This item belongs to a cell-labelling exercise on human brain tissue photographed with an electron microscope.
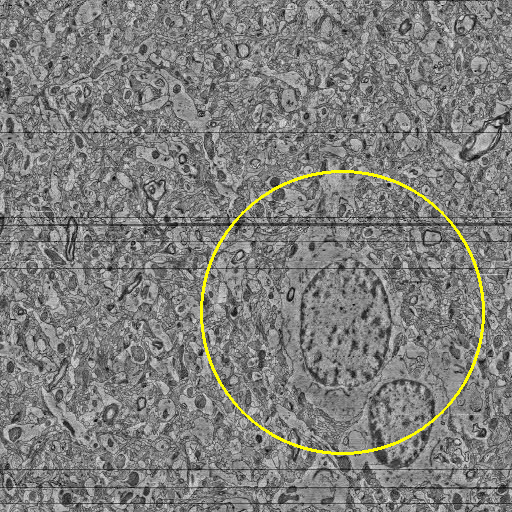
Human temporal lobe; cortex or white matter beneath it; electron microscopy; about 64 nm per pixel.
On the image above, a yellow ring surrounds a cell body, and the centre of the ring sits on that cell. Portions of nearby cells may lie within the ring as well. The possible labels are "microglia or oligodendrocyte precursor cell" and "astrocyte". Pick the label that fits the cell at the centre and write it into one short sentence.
This cell should be labelled as an astrocyte.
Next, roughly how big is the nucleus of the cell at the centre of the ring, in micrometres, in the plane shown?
In this plane the nucleus measures roughly 9 by 6 micrometres.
